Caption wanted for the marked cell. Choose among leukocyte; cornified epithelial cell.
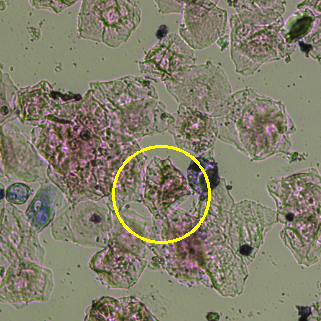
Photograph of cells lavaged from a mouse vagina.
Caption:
Ringed in yellow is a cornified epithelial cell.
